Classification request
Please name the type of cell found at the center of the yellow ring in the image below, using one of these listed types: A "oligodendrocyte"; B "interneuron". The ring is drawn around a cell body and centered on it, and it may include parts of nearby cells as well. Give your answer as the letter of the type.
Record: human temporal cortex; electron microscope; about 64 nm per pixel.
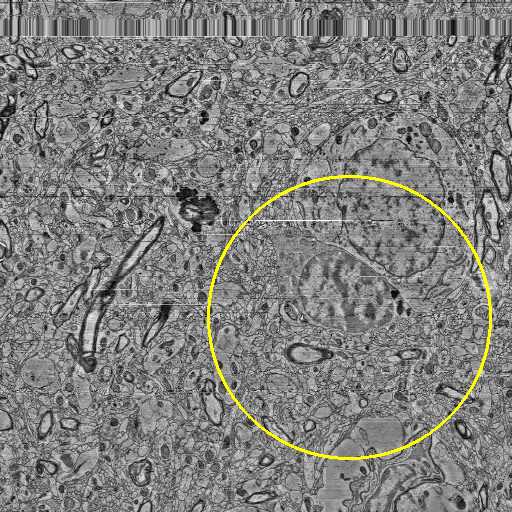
A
